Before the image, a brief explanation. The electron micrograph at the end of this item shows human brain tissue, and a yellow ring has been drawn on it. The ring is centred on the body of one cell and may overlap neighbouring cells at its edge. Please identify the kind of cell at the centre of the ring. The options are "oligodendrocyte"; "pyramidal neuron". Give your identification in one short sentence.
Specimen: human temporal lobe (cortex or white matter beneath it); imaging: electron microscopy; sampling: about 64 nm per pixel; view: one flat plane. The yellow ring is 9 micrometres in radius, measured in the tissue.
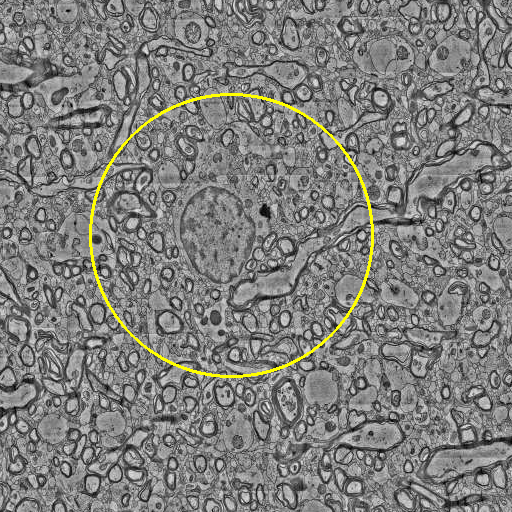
The ring has been placed around an oligodendrocyte.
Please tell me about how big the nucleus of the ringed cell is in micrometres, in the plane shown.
In this plane the nucleus spans approximately 6 by 5 micrometers.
